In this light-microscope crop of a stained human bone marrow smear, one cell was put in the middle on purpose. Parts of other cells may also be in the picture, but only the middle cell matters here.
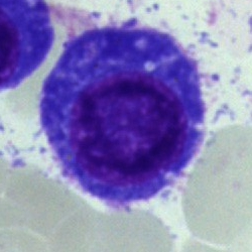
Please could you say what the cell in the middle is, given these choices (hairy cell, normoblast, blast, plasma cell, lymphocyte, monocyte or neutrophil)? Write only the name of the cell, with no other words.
plasma cell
